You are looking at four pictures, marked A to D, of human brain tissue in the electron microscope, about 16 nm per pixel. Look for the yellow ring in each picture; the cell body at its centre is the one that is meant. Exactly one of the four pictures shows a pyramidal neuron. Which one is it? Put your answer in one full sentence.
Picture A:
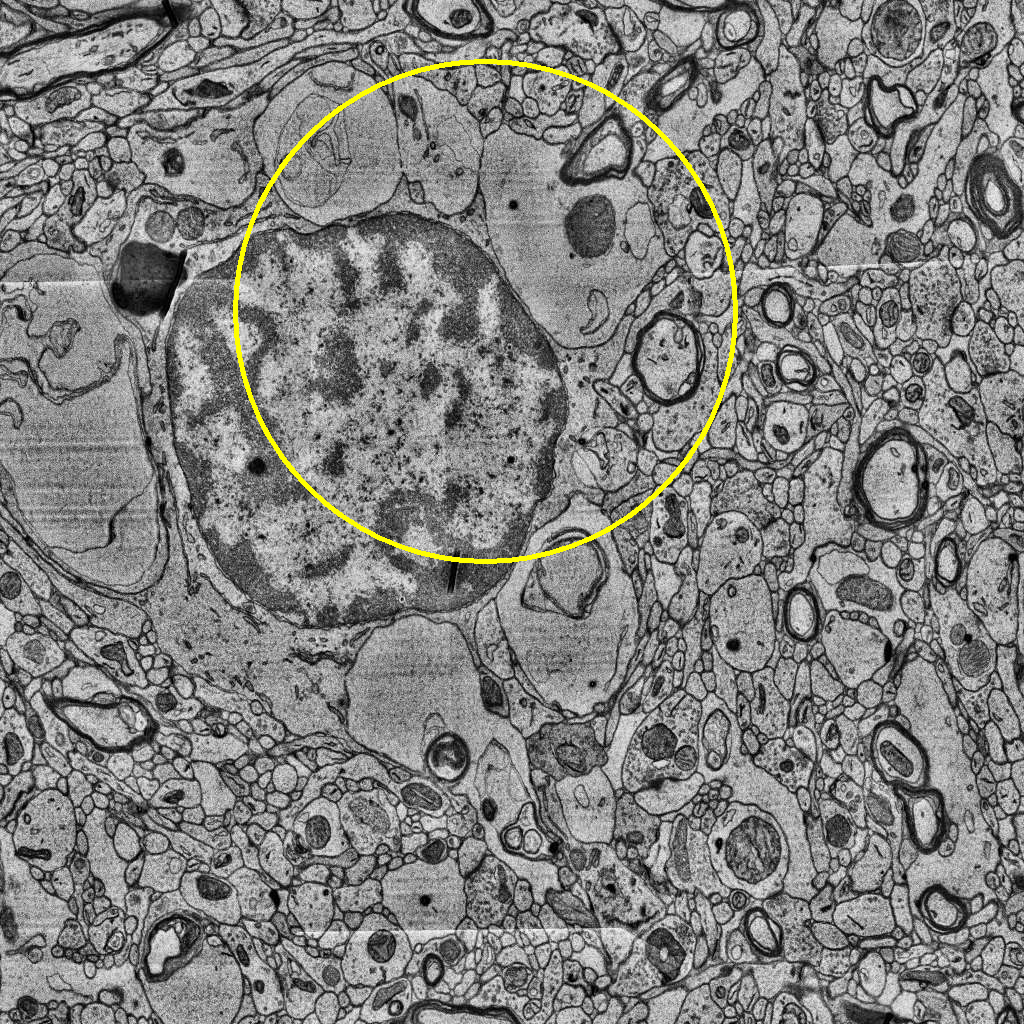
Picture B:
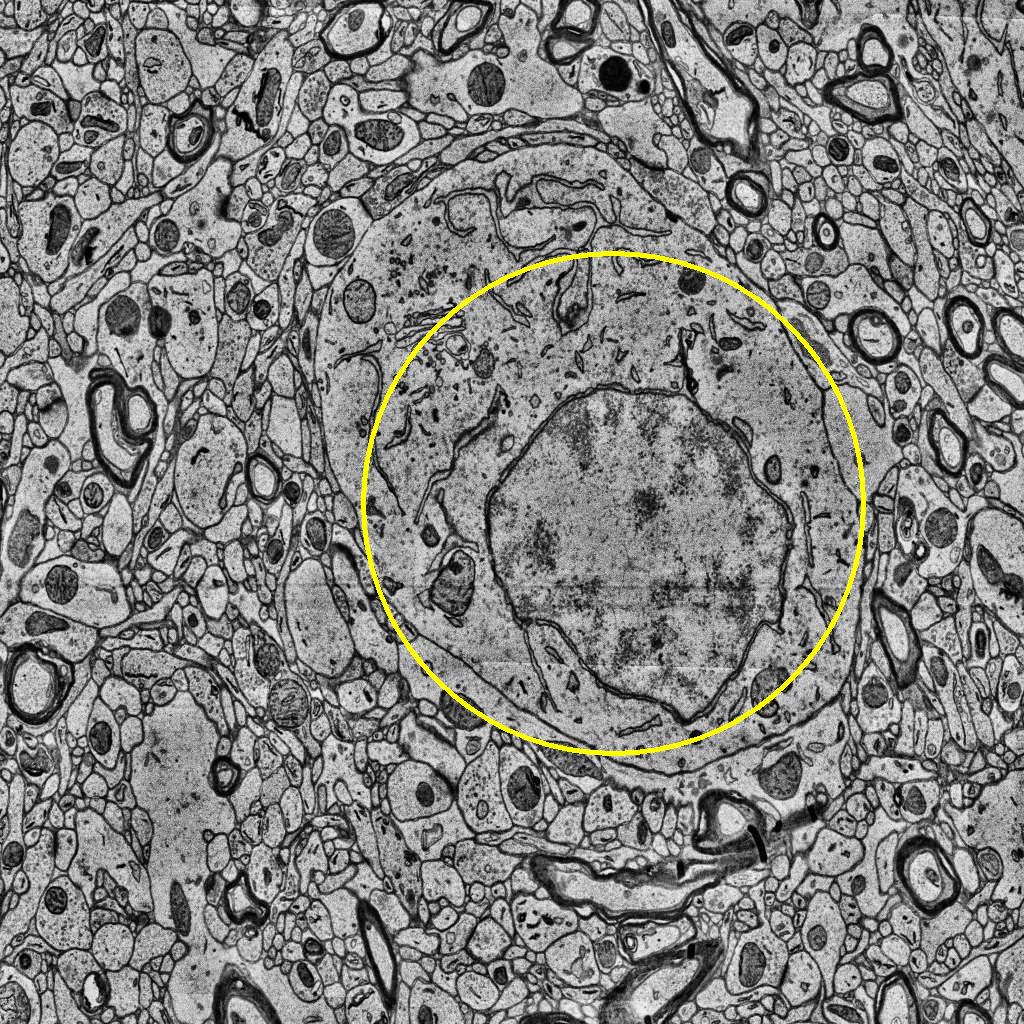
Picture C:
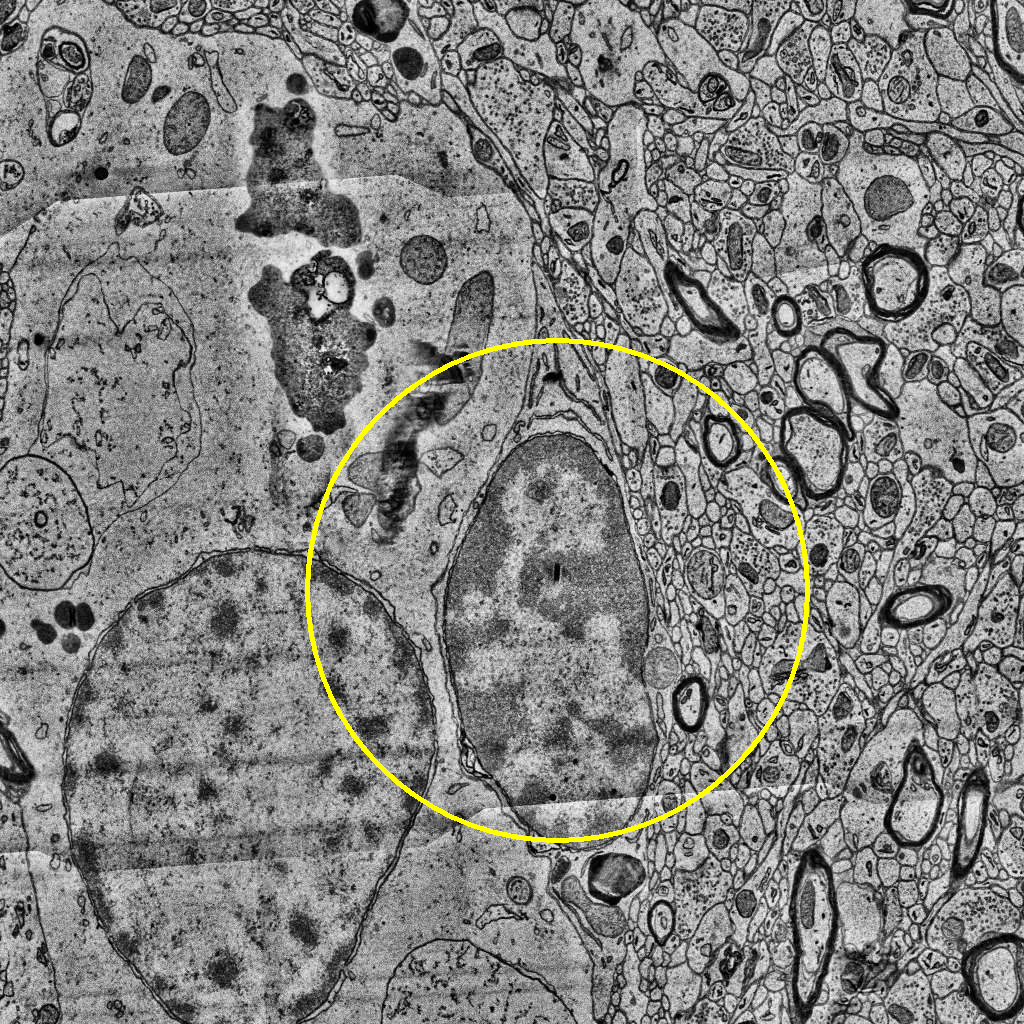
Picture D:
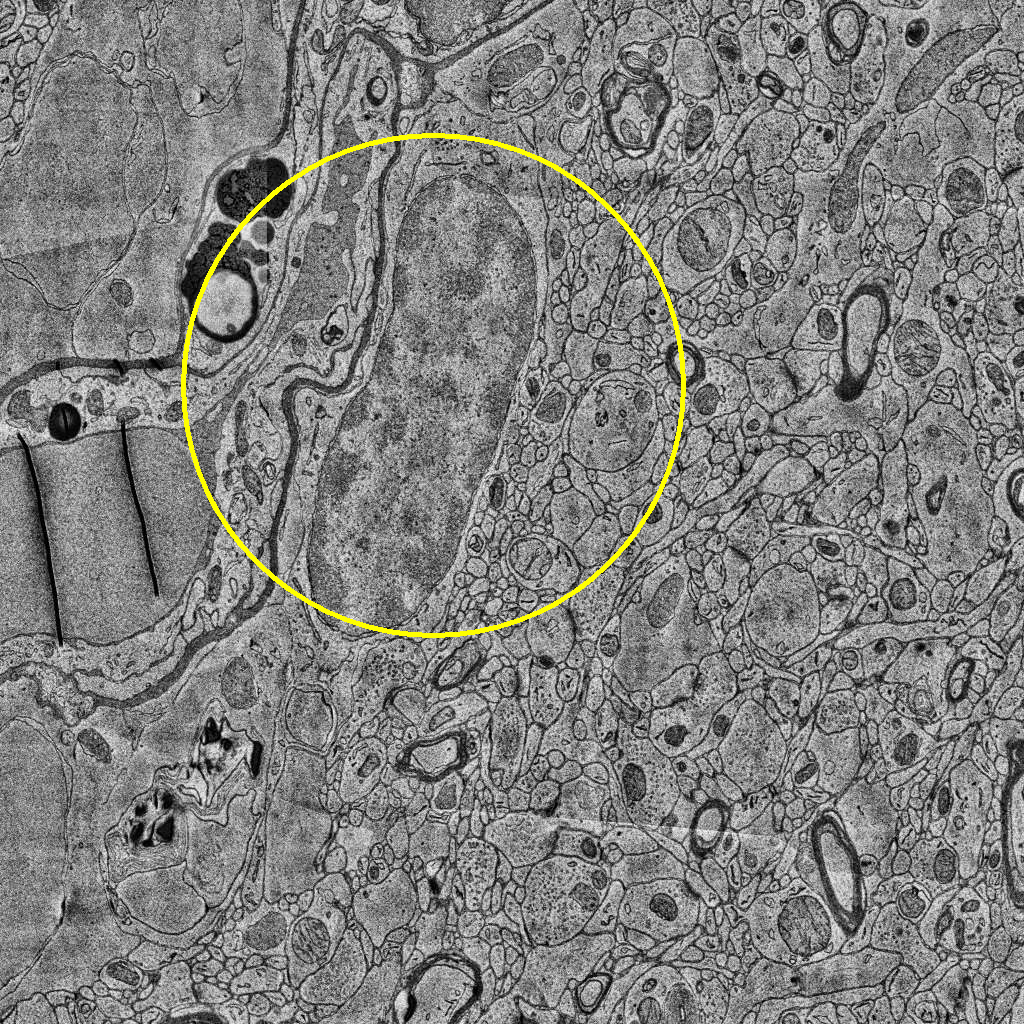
Picture B is the one that shows the pyramidal neuron.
